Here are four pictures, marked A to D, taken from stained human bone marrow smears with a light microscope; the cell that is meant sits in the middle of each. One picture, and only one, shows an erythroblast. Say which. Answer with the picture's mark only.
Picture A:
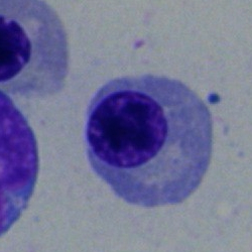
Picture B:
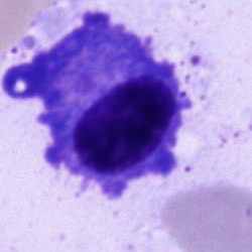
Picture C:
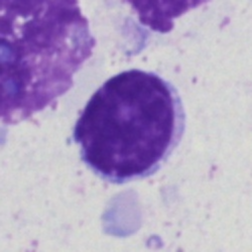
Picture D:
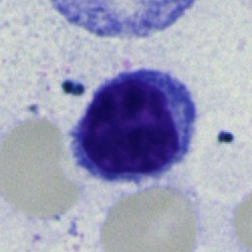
A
